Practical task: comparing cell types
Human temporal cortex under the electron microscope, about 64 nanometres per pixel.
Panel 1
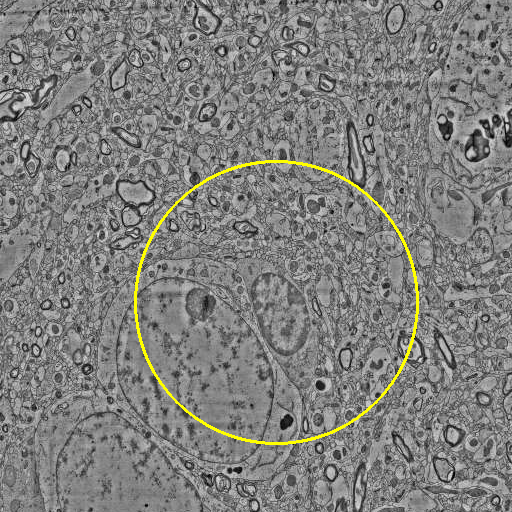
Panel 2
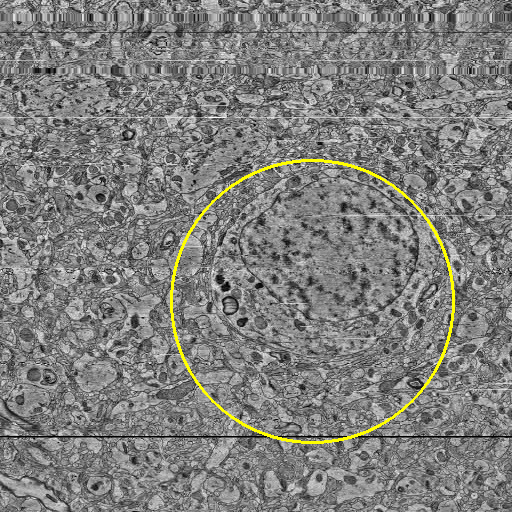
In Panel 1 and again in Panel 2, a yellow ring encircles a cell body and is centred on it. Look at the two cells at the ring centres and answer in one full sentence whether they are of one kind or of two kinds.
The two cells sitting at the ring centres of Panels 1 and 2 are of two kinds.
